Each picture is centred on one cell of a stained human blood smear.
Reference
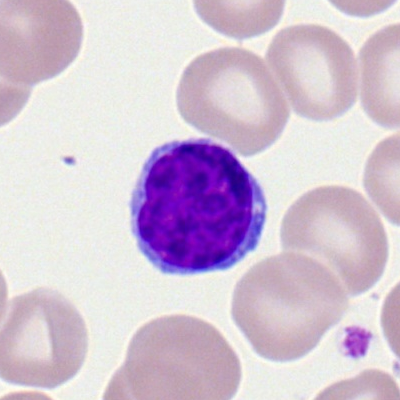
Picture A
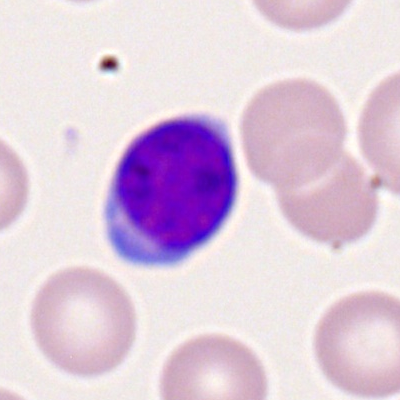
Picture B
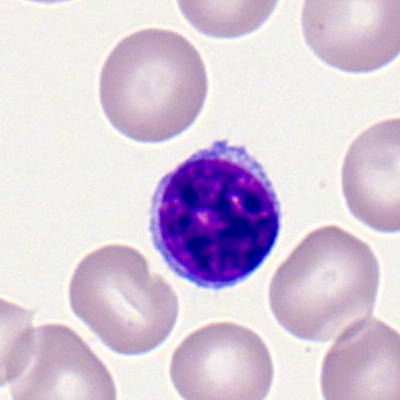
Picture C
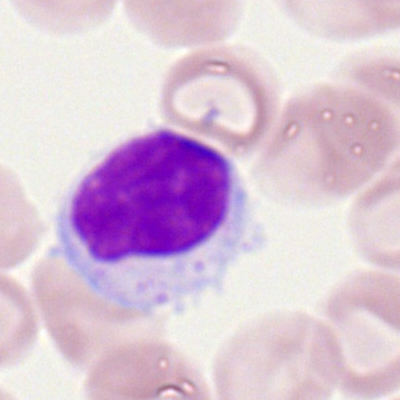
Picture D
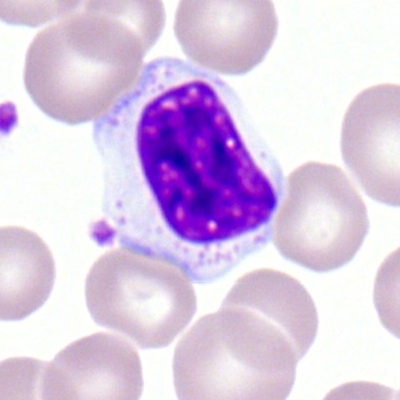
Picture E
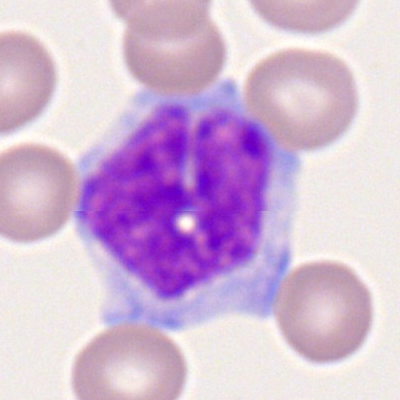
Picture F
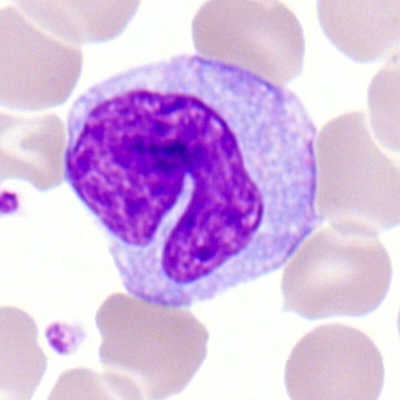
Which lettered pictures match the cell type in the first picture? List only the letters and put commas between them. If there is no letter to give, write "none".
A, B, C, D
